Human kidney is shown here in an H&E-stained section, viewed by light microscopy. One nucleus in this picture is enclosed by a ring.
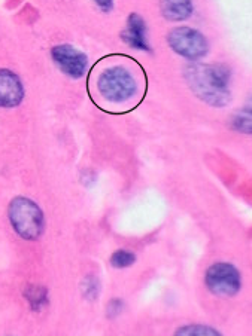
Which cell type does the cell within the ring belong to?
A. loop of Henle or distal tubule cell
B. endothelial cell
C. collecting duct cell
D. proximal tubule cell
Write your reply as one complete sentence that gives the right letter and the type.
Option A wins here: the cell within the ring is a loop of Henle or distal tubule cell.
